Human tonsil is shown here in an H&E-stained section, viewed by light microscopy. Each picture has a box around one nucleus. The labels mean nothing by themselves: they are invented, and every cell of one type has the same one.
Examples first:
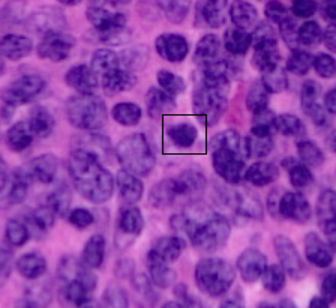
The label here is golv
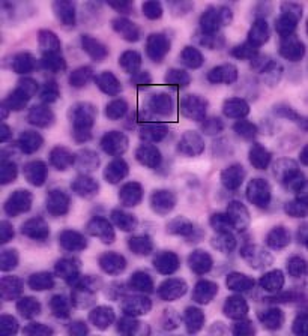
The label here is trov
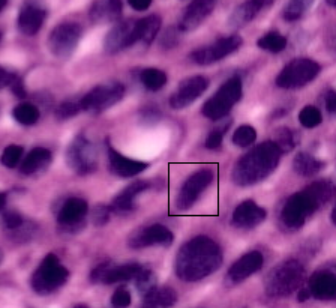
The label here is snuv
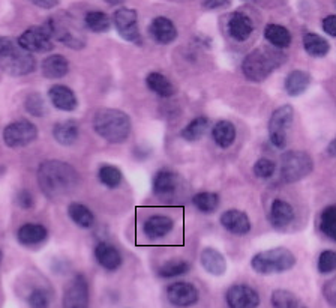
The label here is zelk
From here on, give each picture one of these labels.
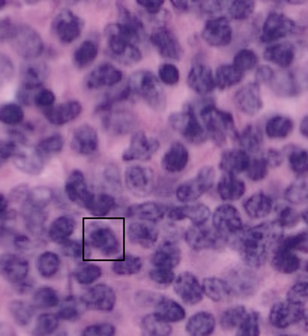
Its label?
trov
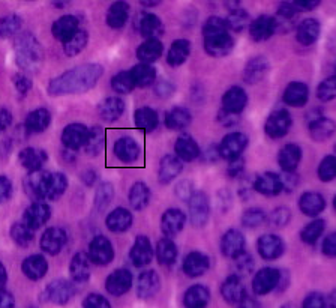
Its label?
zelk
